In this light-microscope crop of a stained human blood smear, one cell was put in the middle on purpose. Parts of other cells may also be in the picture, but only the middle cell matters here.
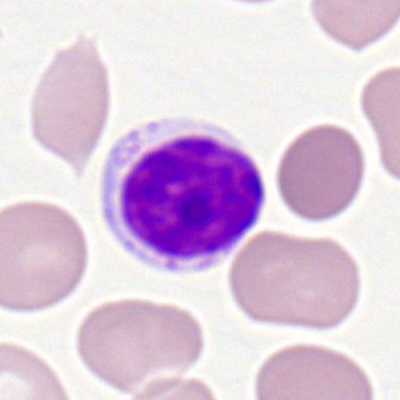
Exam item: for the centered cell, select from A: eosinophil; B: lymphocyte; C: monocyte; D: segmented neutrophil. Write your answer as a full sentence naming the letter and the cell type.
The central cell of the crop is a lymphocyte, which makes B the correct option.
